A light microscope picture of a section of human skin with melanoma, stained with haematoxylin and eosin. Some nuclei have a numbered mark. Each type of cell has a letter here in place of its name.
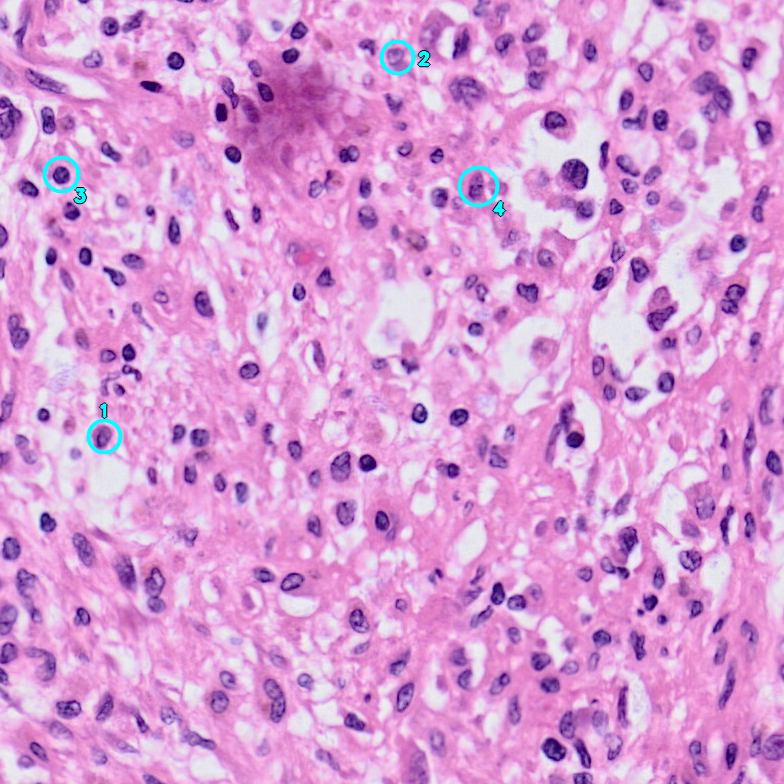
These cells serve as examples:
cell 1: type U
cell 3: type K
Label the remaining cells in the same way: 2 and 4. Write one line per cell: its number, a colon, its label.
2: type U
4: type U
